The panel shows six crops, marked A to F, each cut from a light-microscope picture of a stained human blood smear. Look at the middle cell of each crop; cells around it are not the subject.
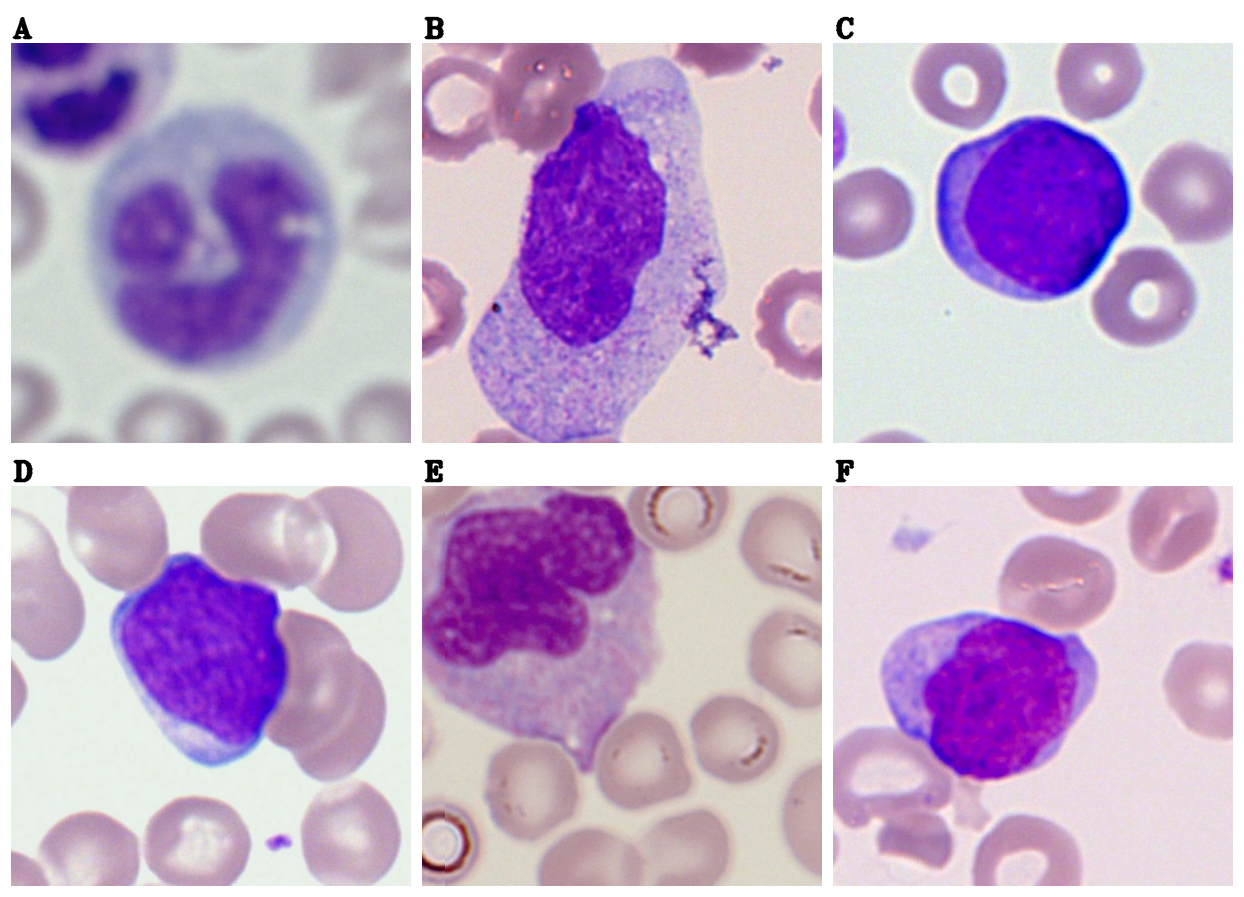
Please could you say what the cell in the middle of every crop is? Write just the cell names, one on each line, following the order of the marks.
monocyte
monocyte
myeloblast
myeloblast
monocyte
myeloblast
